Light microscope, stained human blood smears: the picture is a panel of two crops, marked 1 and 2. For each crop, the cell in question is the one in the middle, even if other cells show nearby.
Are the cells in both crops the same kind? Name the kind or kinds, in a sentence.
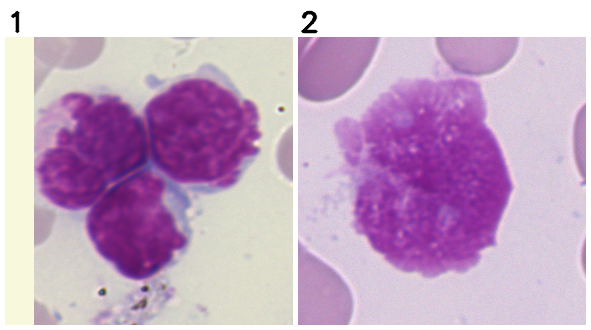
No, crop 1 represents a myeloblast, and crop 2 represents a smudge cell.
